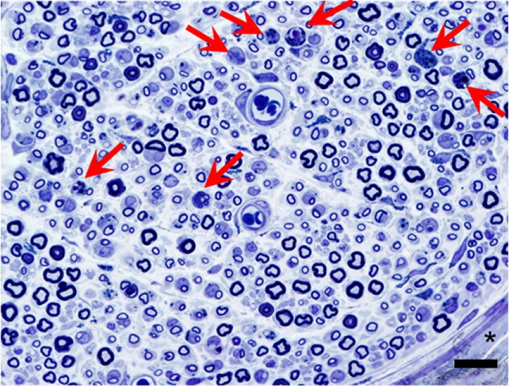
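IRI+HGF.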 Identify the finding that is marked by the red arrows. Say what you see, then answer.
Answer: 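Nerve fibers with axonal degeneration. The arrowed profiles are darkly stained, irregular fibers without a clear pale axon. They lie scattered among intact myelinated fibers.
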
